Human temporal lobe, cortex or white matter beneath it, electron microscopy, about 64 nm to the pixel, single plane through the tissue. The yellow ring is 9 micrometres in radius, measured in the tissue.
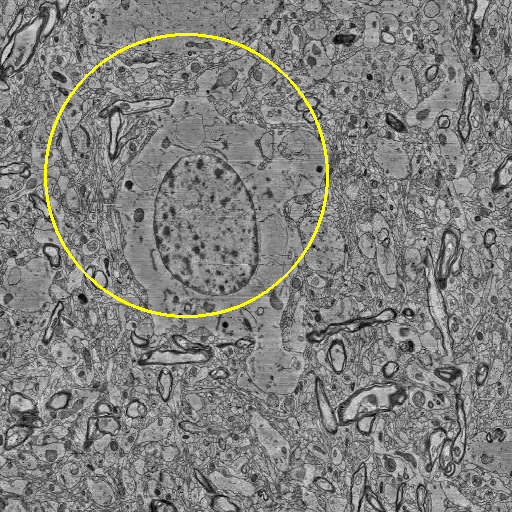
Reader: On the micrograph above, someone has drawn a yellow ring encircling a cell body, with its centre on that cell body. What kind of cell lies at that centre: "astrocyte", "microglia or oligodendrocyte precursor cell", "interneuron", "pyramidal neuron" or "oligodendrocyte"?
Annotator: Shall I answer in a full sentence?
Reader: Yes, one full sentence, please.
Here an astrocyte sits at the centre of the yellow ring drawn on the micrograph.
